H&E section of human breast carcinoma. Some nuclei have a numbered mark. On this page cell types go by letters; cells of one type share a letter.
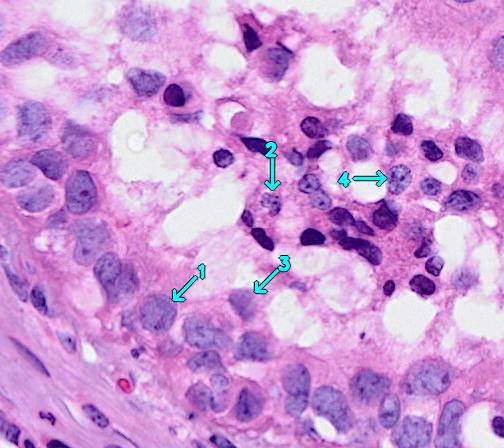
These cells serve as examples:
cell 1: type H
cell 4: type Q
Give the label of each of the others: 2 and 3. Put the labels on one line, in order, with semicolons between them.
type Q; type H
